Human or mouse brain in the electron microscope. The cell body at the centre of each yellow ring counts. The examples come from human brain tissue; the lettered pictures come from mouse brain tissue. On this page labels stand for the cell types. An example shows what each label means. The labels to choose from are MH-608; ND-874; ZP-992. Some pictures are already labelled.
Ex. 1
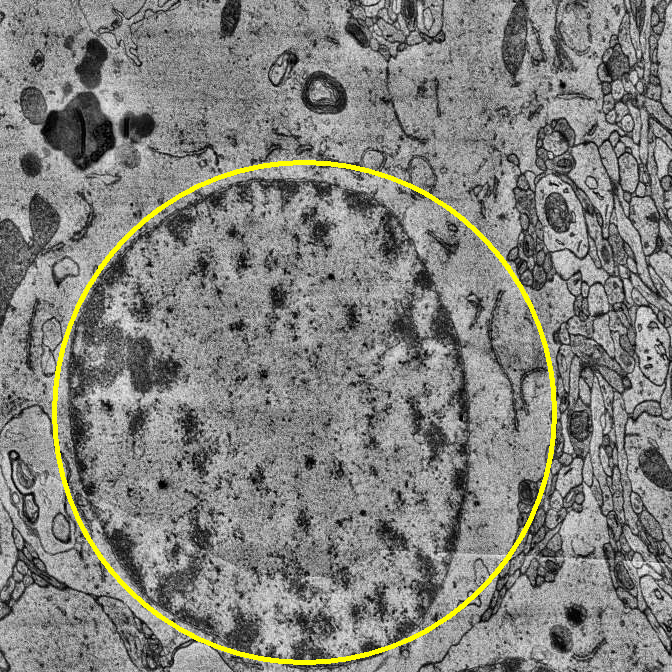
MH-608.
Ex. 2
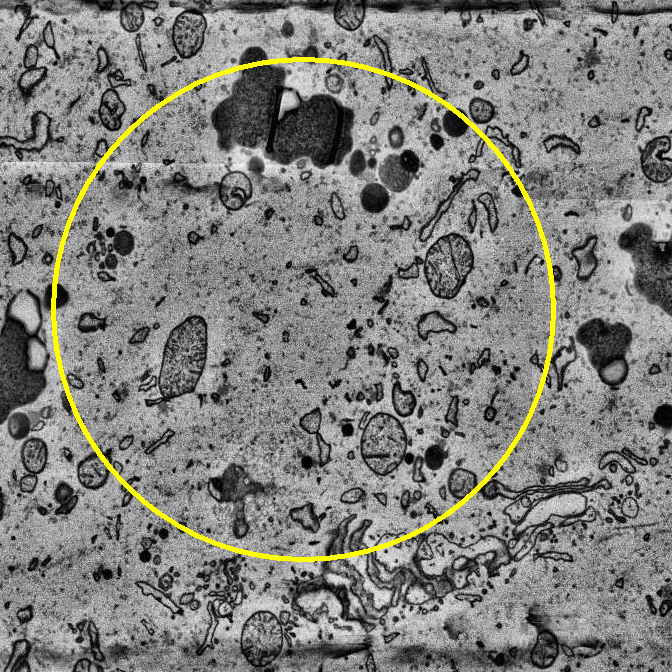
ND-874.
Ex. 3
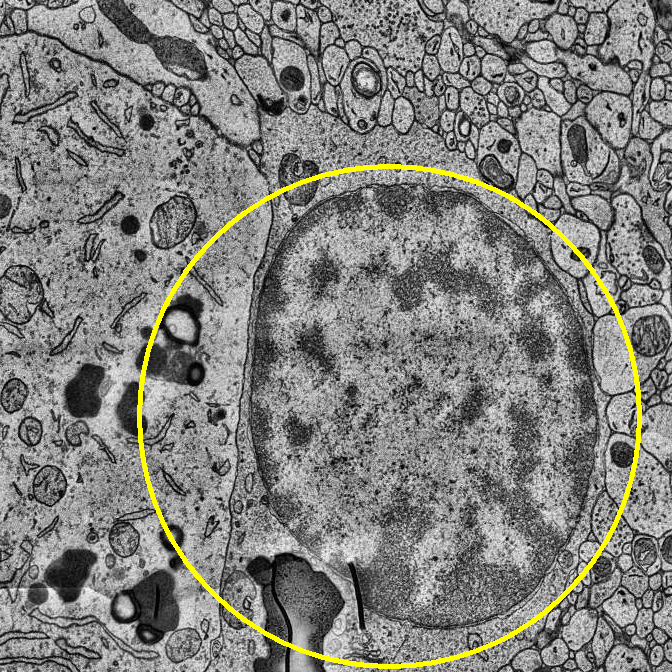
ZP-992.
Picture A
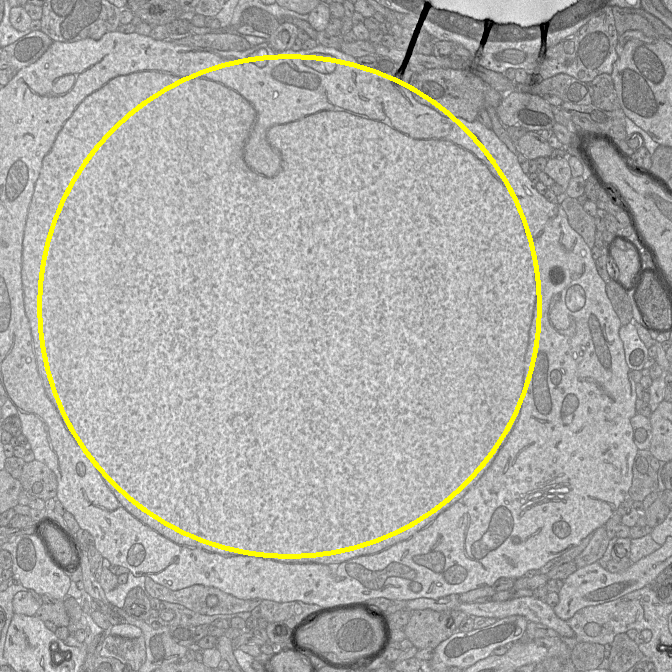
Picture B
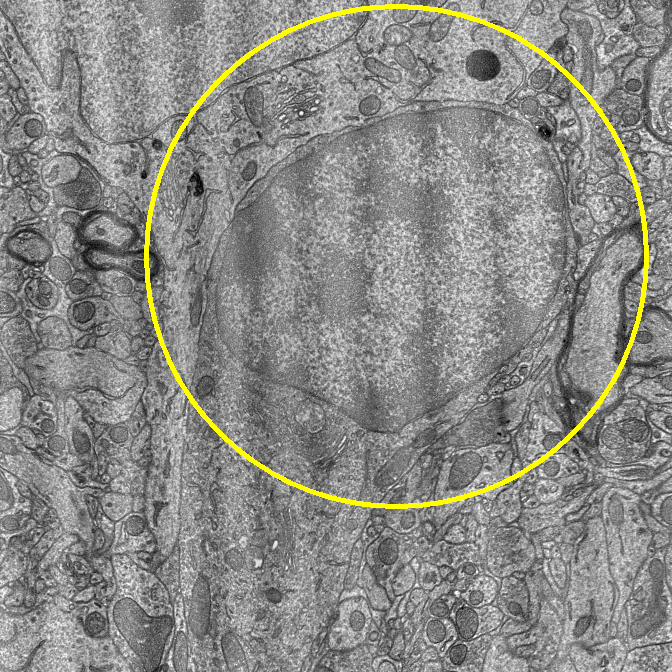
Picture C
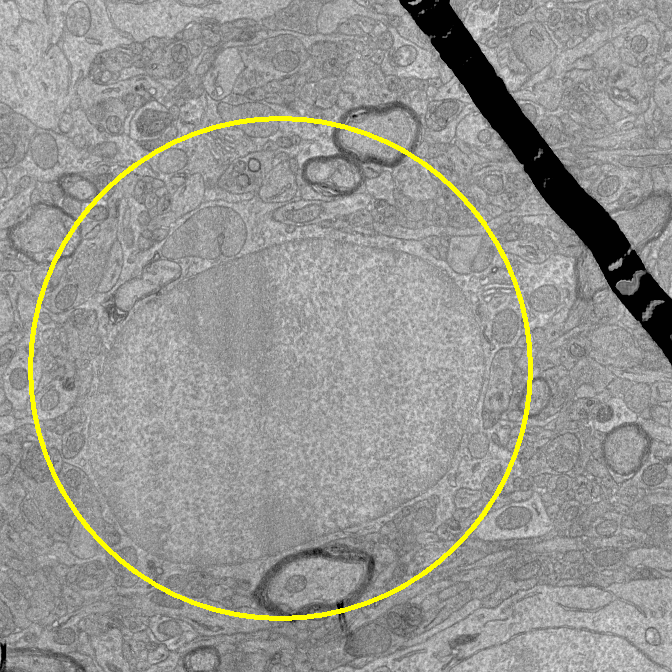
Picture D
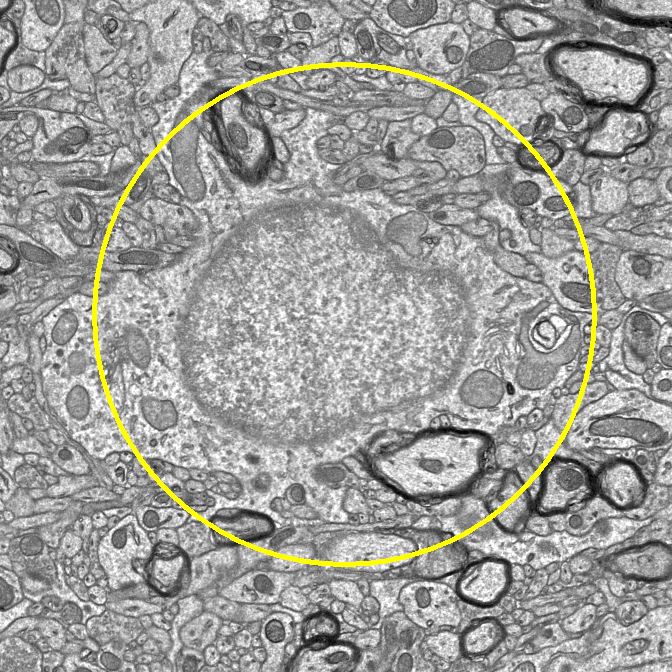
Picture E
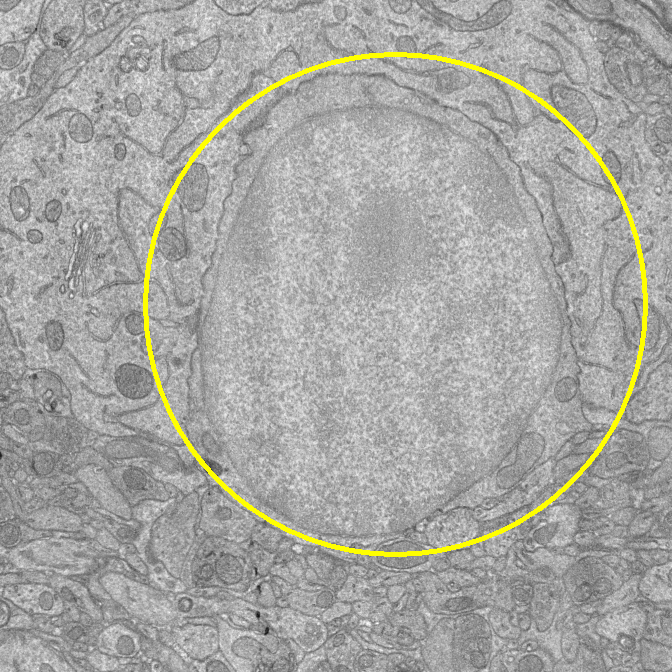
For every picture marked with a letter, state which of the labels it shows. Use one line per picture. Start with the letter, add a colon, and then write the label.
A: ND-874.
B: ZP-992.
C: MH-608.
D: MH-608.
E: ZP-992.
